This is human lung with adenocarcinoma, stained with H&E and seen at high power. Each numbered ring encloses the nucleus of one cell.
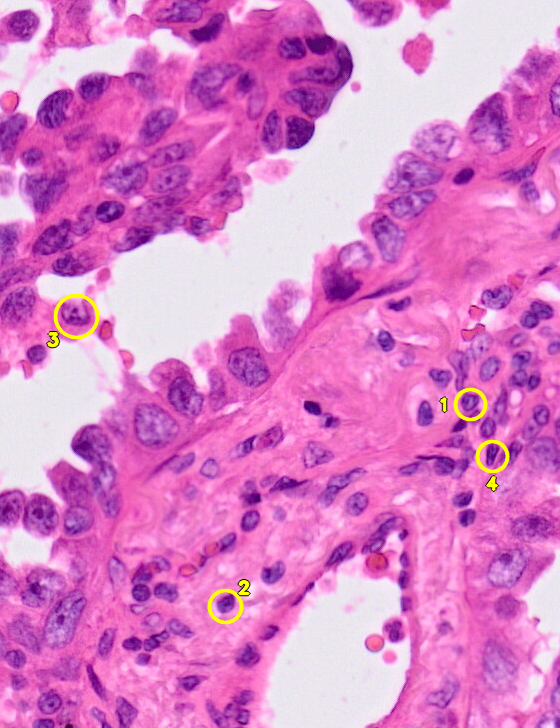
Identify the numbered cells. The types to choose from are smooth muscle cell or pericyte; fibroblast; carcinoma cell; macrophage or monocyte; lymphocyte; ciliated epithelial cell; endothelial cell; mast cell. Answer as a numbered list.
1. lymphocyte
2. lymphocyte
3. macrophage or monocyte
4. lymphocyte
